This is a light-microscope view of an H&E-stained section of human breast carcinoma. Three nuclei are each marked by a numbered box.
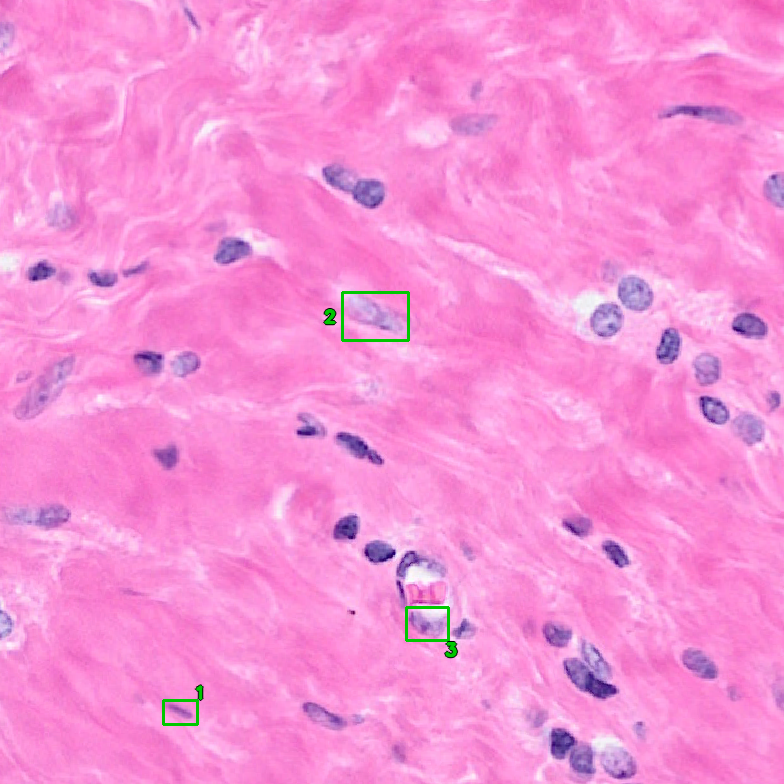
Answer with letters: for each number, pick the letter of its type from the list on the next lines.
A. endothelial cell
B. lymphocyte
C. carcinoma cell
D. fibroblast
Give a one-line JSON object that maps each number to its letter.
{"1": "D", "2": "D", "3": "A"}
